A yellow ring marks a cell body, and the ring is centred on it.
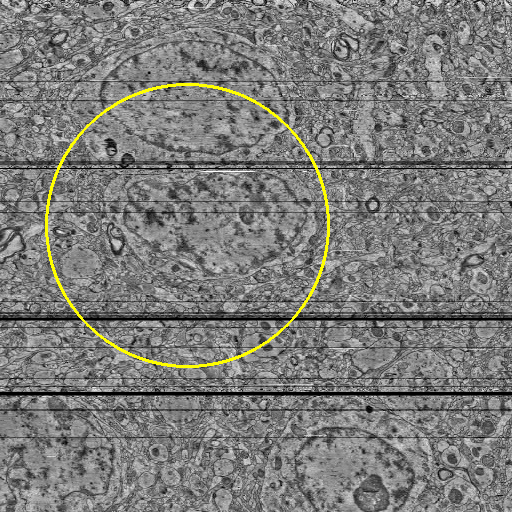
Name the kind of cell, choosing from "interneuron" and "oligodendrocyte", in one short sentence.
The marked cell body belongs to an interneuron.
